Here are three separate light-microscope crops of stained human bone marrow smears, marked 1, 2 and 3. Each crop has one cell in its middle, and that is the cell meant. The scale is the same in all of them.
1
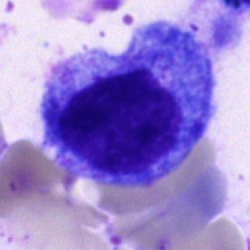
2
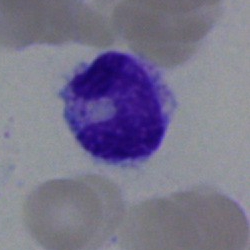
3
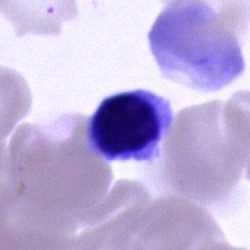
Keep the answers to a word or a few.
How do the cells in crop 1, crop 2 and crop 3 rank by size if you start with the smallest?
3, 2, 1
